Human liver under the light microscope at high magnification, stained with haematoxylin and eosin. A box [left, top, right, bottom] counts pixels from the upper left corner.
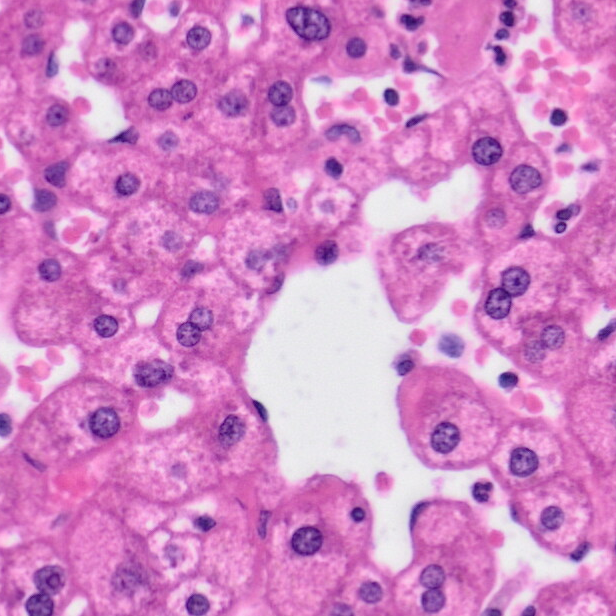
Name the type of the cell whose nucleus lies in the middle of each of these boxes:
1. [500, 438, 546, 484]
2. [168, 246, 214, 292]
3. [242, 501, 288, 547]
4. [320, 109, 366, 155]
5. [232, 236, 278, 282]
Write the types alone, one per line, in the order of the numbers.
hepatocyte
endothelial cell
fibroblast or stellate cell
Kupffer cell
hepatocyte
